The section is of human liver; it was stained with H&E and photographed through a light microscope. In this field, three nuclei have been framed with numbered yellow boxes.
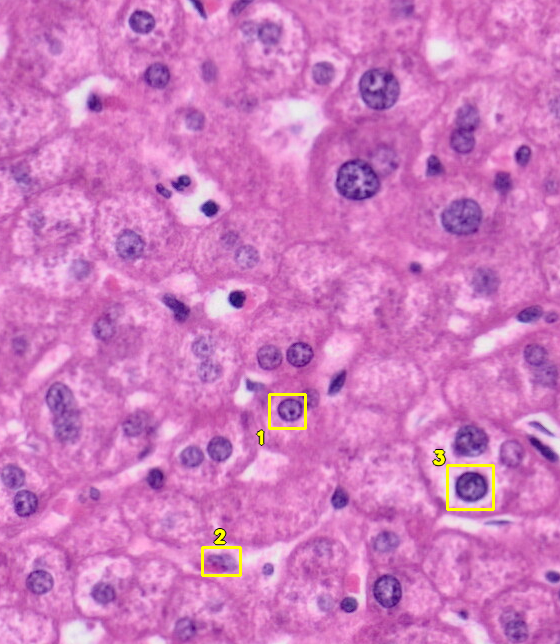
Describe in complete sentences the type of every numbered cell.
Cells 1 and 3 are hepatocytes. Cell 2 is a Kupffer cell.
